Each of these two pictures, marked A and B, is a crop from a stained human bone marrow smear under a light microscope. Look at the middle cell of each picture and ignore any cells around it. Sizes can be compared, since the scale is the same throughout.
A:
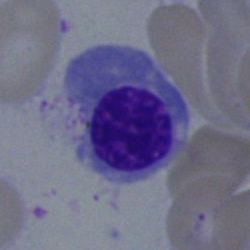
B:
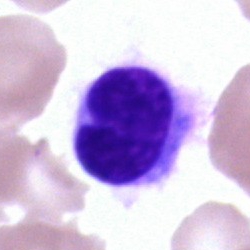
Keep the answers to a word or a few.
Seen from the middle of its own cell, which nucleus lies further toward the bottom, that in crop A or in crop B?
A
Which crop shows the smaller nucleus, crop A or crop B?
A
